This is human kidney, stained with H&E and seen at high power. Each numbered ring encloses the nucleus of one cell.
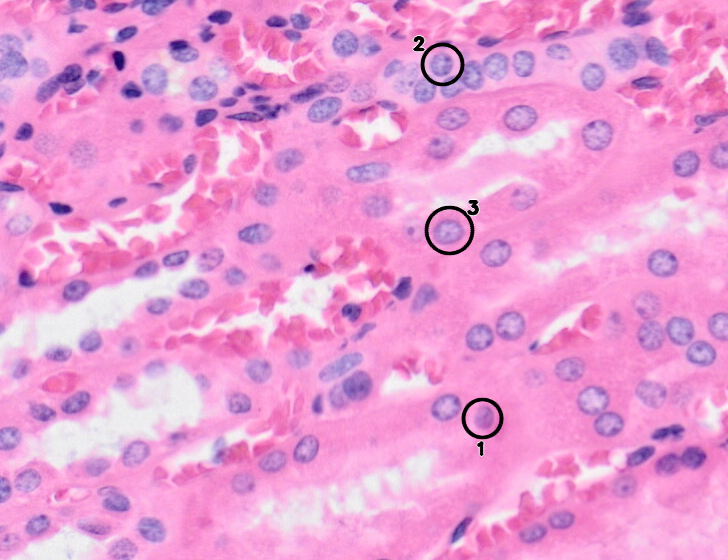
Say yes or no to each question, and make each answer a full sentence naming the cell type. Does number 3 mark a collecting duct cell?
No, the cell tagged 3 is a proximal tubule cell, not a collecting duct cell.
